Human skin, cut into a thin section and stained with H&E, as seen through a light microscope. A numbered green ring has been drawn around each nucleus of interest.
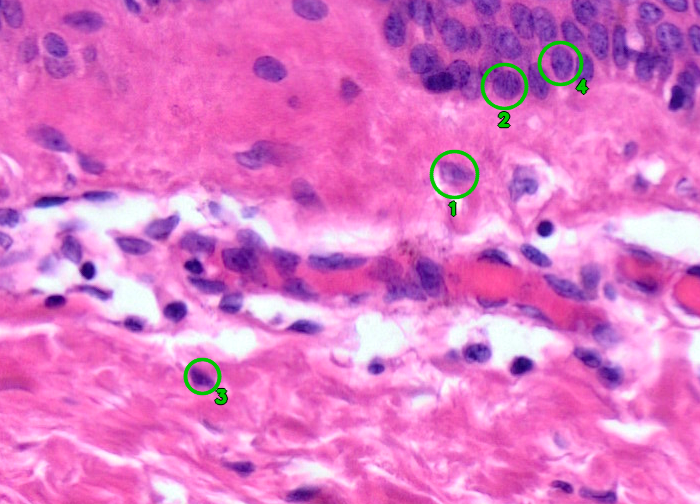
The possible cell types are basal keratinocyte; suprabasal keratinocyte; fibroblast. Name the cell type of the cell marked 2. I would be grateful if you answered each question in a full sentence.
Cell 2 in the field is a basal keratinocyte.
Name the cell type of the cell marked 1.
In the marked set, the cell given number 1 is a fibroblast.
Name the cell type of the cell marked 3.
The cell that bears the number 3 is a fibroblast.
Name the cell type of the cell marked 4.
The cell that is numbered 4 is a basal keratinocyte.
